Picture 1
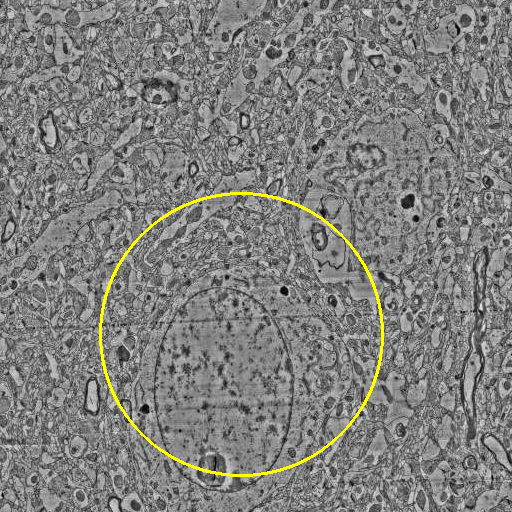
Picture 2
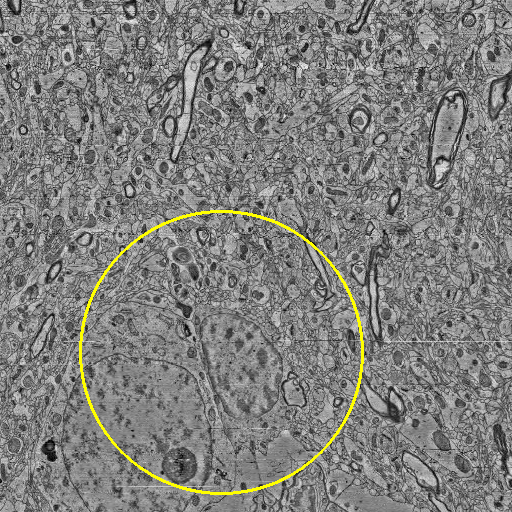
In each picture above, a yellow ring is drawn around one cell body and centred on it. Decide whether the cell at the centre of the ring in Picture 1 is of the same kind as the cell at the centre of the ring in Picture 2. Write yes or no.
no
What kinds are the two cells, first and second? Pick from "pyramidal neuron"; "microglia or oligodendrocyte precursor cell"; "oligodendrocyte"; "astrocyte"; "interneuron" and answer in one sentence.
The second picture holds an oligodendrocyte in its ring, and the first holds a pyramidal neuron.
